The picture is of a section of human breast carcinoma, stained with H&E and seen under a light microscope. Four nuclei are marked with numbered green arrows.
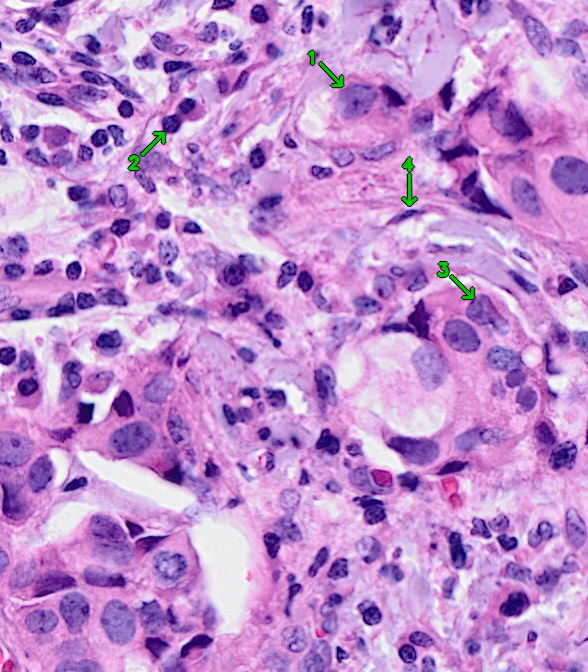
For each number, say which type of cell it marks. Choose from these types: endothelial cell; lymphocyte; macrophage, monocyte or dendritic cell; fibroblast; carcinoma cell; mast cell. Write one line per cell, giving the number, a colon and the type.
1: carcinoma cell
2: lymphocyte
3: carcinoma cell
4: fibroblast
